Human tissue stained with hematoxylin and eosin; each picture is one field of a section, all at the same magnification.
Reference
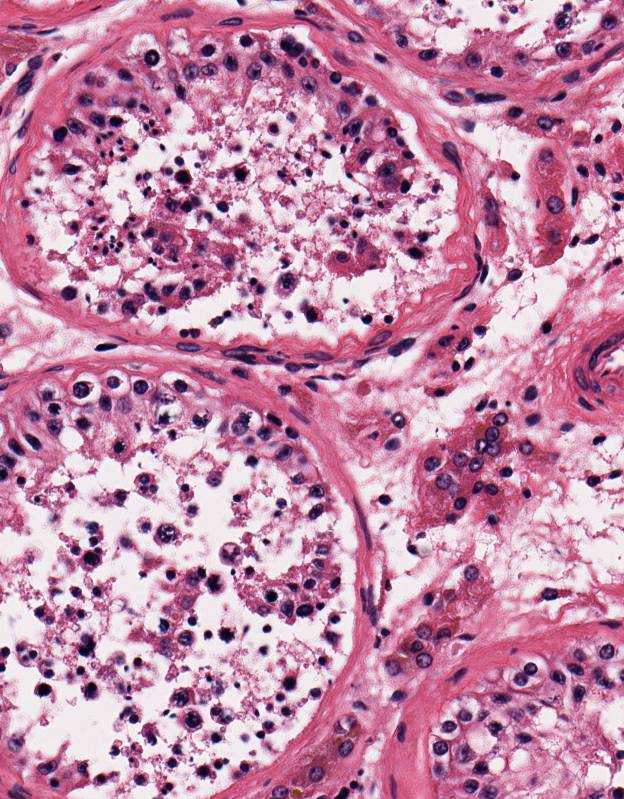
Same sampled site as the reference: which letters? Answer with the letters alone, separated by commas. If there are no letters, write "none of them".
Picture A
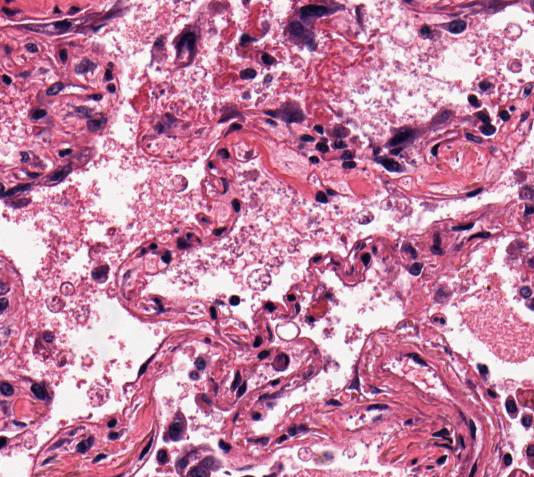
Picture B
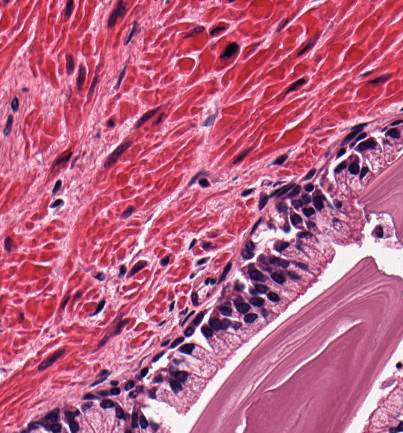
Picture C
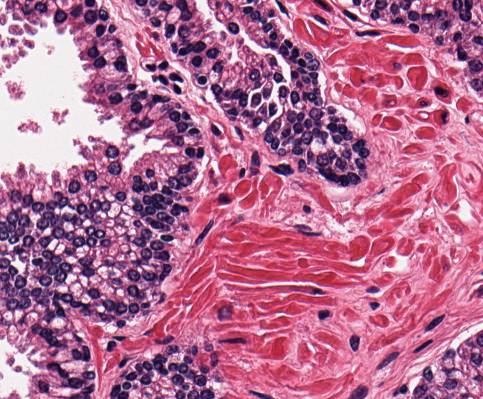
none of them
